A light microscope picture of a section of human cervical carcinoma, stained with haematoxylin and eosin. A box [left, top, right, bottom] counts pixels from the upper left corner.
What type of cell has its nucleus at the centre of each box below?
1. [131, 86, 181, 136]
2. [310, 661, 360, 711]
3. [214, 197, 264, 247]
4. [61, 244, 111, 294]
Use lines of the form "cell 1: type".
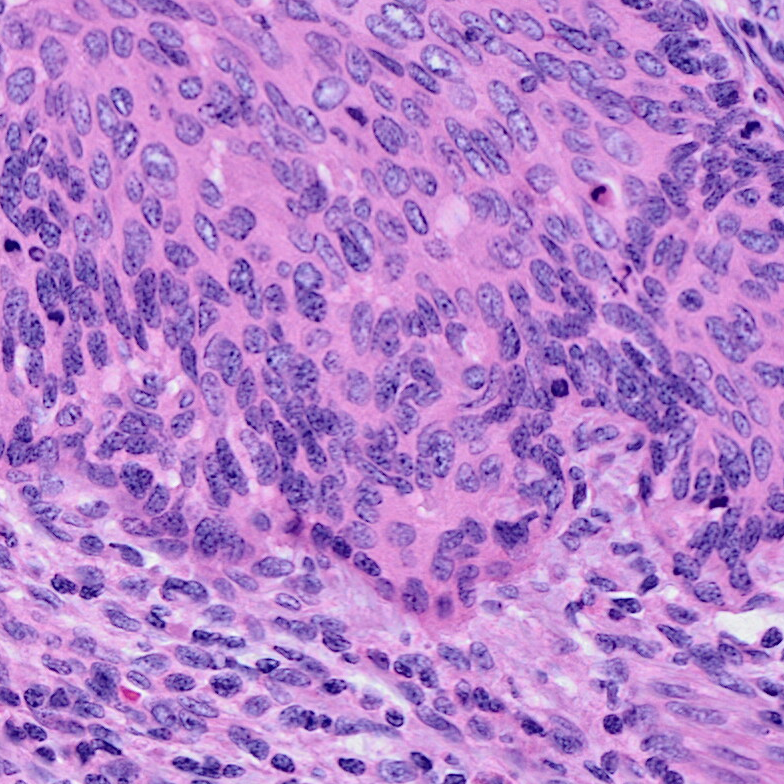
cell 1: squamous carcinoma cell
cell 2: lymphocyte
cell 3: squamous carcinoma cell
cell 4: squamous carcinoma cell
